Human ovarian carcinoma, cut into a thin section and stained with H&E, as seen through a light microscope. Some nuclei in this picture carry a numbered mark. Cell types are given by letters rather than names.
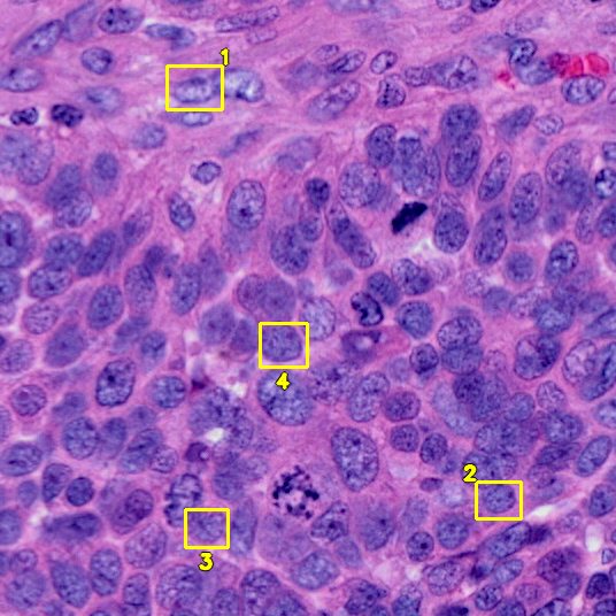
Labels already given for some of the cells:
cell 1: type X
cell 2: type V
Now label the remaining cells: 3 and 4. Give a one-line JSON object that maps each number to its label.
{"3": "type V", "4": "type V"}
